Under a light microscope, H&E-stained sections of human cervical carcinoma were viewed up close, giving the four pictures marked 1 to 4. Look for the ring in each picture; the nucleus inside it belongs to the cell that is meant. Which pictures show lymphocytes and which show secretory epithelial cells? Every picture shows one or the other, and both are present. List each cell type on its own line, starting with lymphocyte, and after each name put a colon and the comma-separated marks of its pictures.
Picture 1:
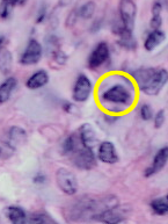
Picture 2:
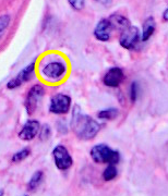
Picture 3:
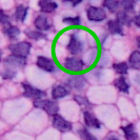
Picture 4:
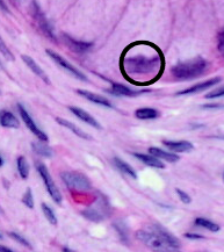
lymphocyte: 1, 2
secretory epithelial cell: 3, 4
